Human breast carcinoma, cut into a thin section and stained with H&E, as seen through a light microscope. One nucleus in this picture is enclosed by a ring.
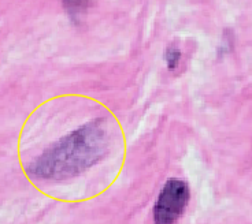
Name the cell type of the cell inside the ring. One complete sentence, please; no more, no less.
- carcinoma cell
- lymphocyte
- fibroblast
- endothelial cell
Just put down that the cell inside the ring is a fibroblast.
